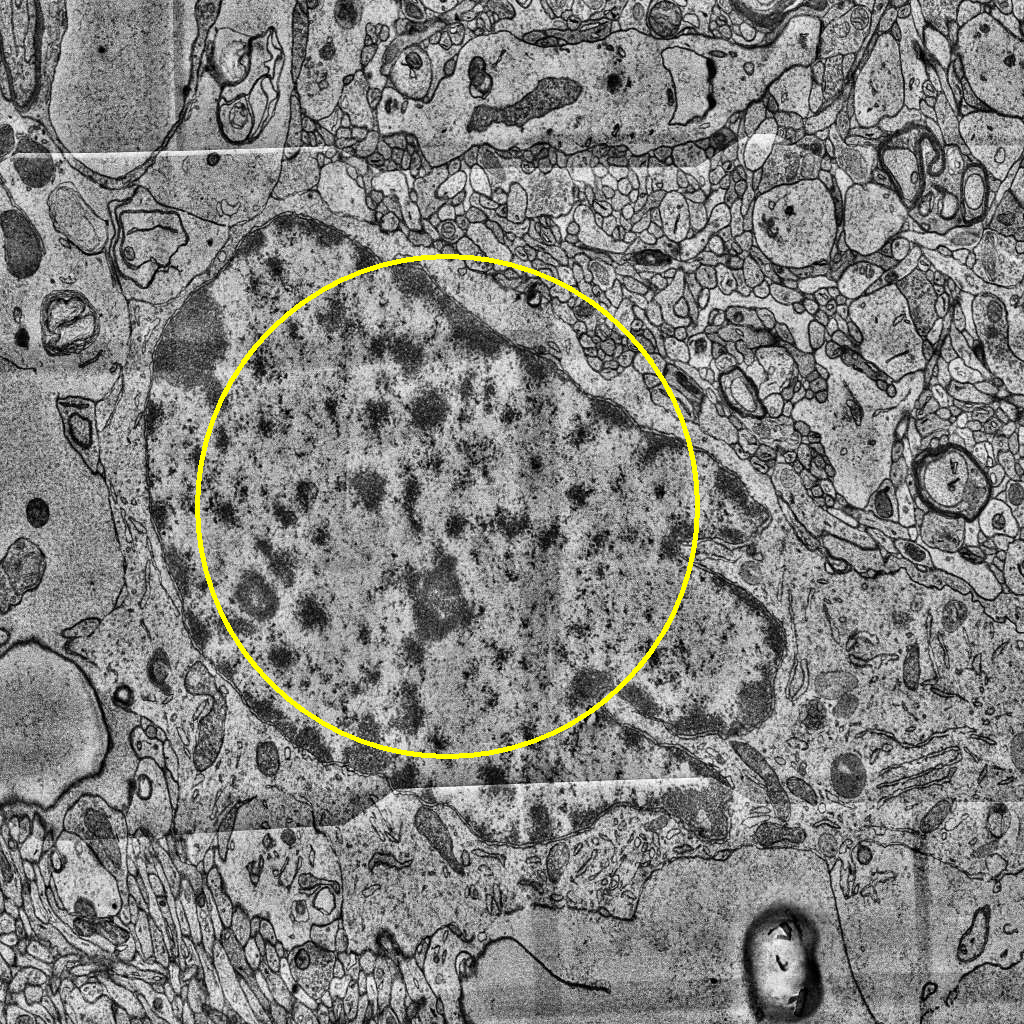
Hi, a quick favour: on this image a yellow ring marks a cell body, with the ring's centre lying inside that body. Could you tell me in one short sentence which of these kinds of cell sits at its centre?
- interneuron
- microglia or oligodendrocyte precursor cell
The ring's centre lies in a microglial cell or oligodendrocyte precursor cell.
